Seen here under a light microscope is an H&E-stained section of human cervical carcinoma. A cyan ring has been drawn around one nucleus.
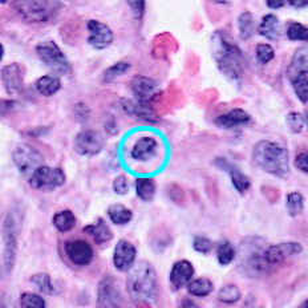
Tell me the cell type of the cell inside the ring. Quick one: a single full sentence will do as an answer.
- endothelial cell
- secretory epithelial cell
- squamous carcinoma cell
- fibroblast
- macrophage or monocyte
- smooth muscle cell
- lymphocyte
By its classification, the cell inside the ring is a lymphocyte.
